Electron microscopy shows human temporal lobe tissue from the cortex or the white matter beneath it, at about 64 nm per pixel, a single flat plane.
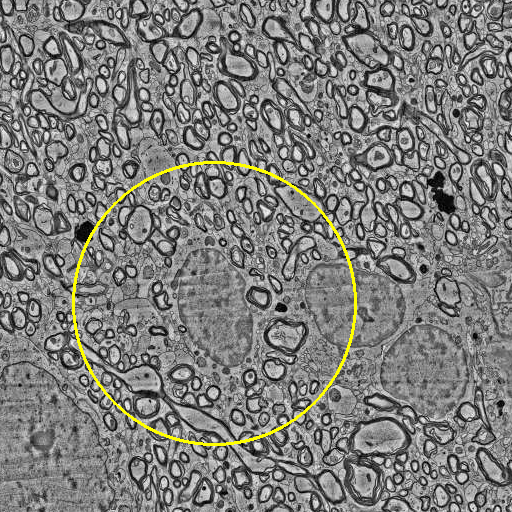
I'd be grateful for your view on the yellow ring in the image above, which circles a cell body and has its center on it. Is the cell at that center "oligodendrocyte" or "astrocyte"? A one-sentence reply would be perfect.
The cell at the center of the yellow ring is an oligodendrocyte.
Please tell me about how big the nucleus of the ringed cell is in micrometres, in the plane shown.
In this plane the nucleus spans approximately 8 by 5 micrometers.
